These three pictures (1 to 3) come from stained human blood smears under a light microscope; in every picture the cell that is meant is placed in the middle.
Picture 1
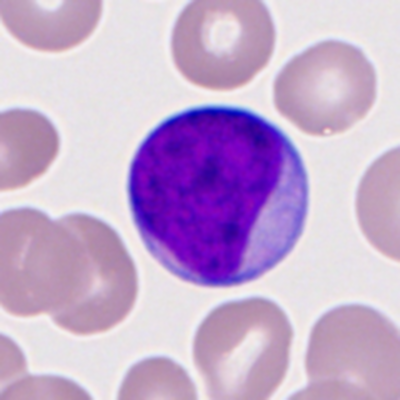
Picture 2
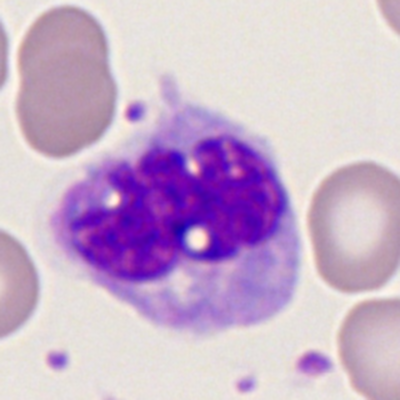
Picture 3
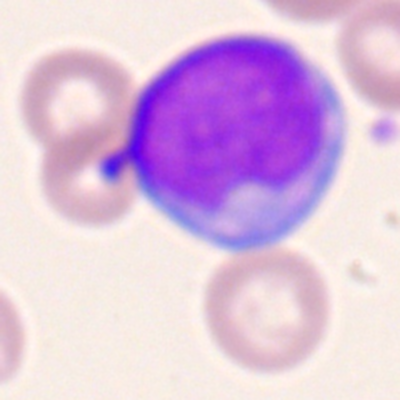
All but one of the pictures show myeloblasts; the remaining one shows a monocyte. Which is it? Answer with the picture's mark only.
2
